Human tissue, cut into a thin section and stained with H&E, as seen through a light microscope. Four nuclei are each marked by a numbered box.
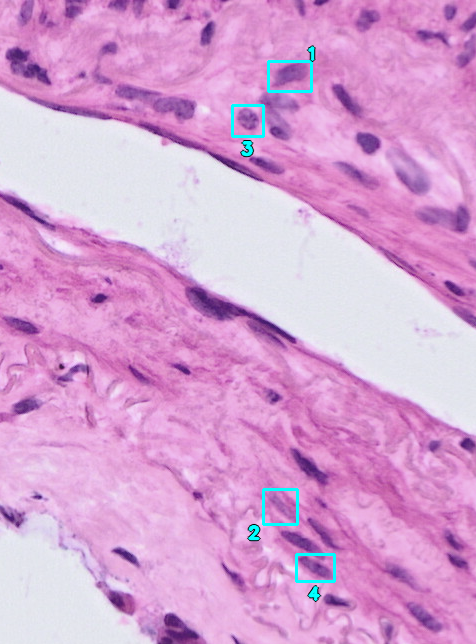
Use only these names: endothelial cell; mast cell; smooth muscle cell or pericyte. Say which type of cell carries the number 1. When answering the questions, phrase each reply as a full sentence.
Cell 1 of the marked set is a smooth muscle cell or pericyte.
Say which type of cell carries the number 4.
The numeral 4 marks a smooth muscle cell or pericyte in this section.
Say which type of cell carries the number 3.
The one numbered 3 among the marked cells is a mast cell.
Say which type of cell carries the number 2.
The nucleus labelled 2 belongs to a smooth muscle cell or pericyte.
